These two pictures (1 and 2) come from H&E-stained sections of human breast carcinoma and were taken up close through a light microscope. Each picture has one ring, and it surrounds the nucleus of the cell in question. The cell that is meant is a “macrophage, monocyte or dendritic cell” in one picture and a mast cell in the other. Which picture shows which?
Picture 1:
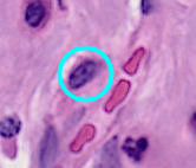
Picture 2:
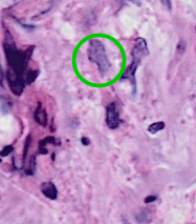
1: mast cell
2: macrophage, monocyte or dendritic cell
